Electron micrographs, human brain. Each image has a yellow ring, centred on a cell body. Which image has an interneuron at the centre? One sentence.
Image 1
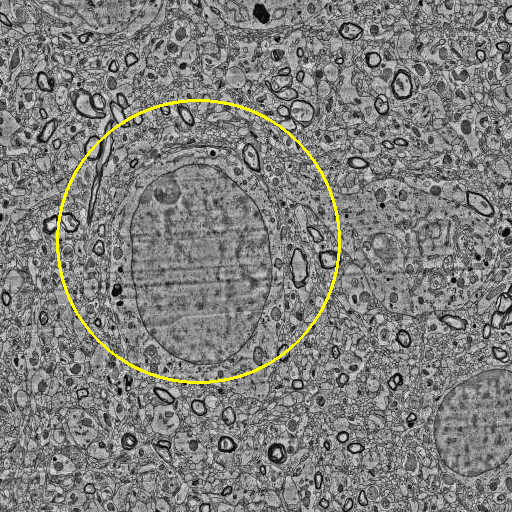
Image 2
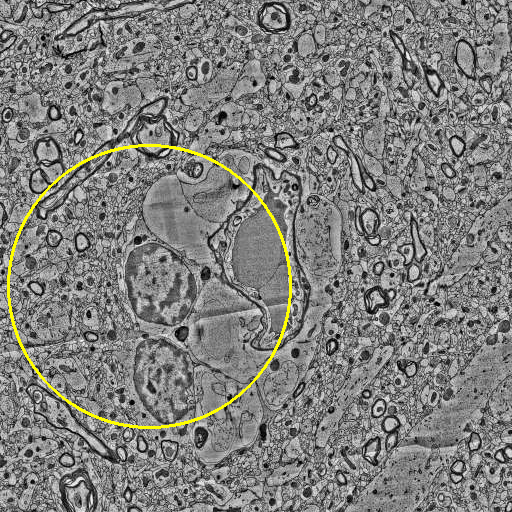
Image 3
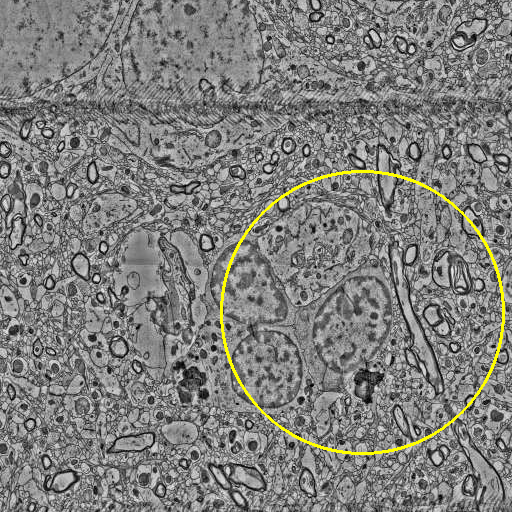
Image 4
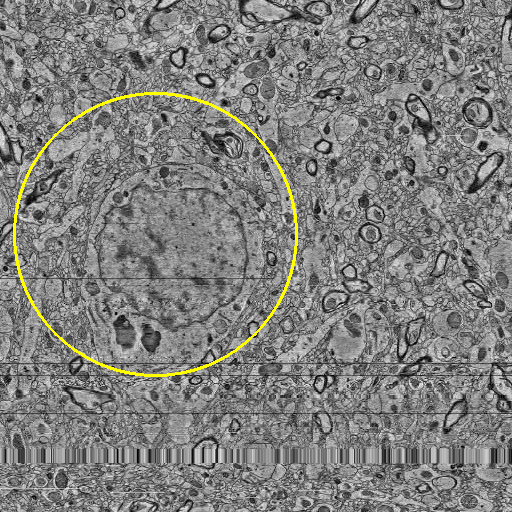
The ring in Image 4 is centred on it.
